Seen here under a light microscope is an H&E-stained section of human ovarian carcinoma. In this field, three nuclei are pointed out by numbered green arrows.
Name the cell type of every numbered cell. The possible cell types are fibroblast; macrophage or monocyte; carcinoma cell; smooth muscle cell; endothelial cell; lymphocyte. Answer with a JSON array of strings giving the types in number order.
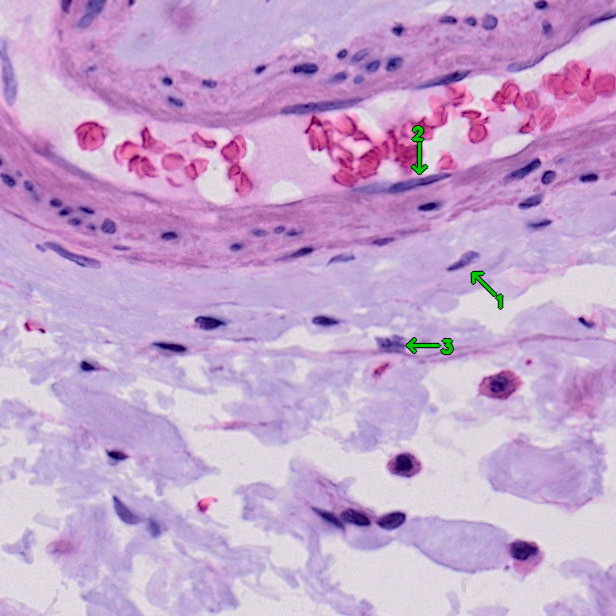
["fibroblast", "endothelial cell", "fibroblast"]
